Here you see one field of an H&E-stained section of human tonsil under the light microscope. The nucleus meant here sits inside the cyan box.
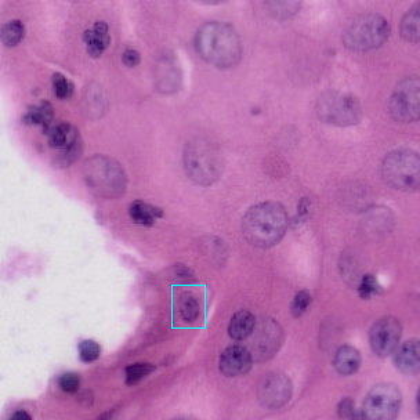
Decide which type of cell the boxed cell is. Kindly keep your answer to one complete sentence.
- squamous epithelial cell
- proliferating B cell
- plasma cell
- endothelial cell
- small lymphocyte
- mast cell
In this field of tissue, the boxed cell is a squamous epithelial cell.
